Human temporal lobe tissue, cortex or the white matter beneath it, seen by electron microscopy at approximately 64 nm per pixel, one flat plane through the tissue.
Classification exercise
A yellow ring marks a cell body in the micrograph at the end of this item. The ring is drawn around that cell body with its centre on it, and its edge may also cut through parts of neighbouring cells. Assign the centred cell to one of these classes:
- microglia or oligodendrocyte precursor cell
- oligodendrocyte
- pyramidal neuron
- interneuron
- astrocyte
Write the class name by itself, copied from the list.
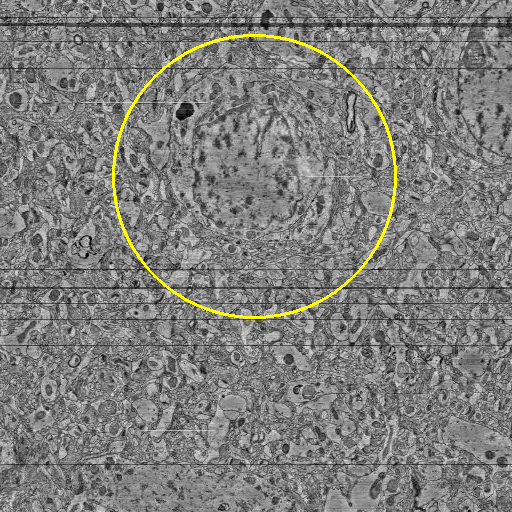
interneuron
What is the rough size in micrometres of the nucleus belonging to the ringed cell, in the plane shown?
Roughly 9 by 7 micrometres is the size of the nucleus in this plane.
